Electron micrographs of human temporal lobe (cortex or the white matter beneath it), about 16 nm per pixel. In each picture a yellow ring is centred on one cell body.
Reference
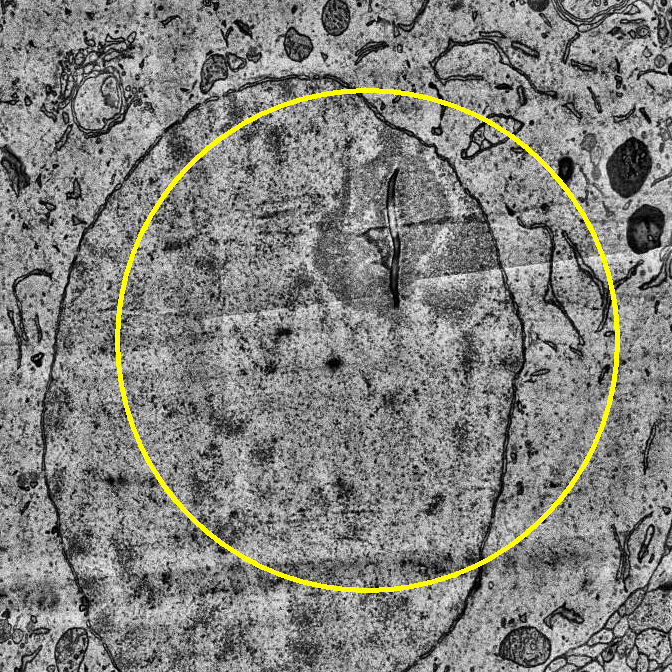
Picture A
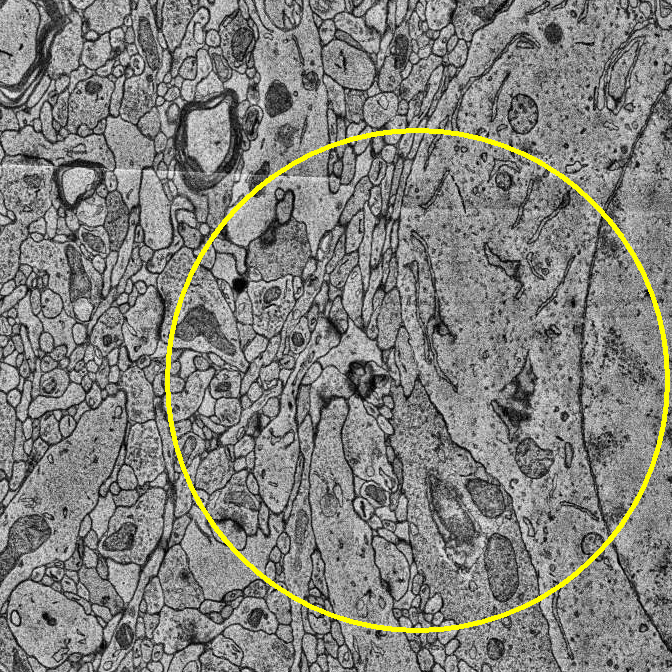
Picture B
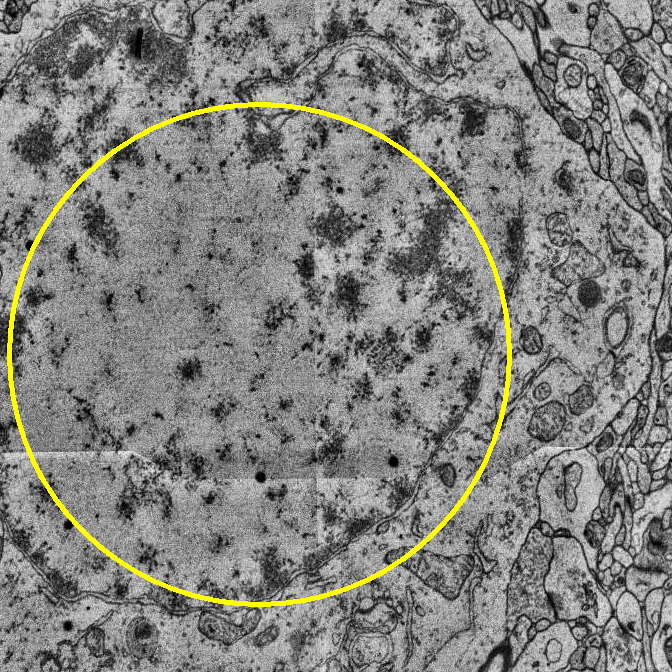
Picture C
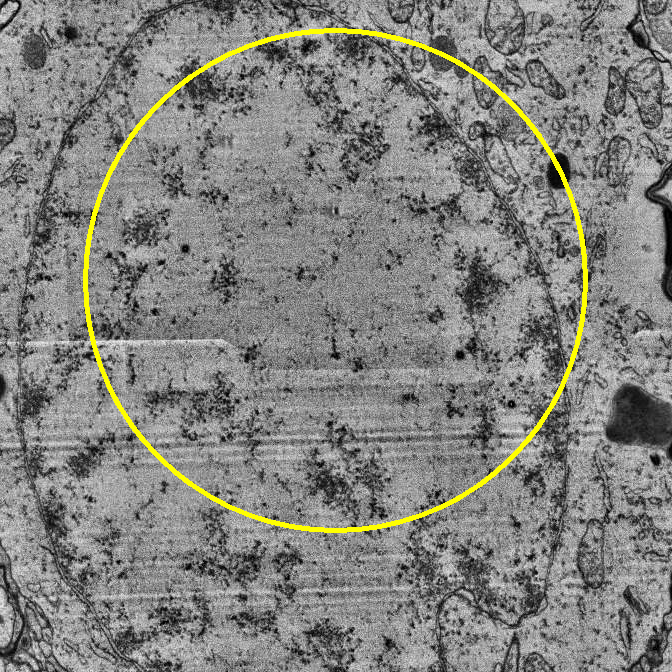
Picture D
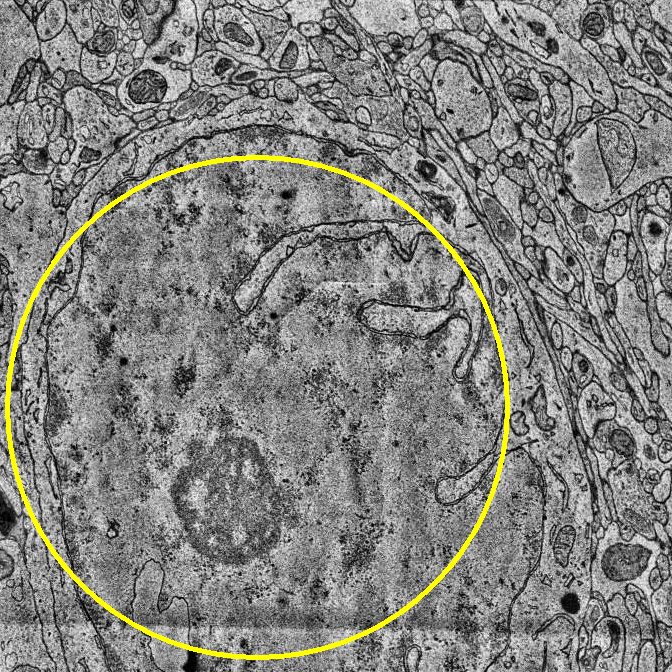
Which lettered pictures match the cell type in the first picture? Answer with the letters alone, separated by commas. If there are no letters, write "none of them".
none of them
